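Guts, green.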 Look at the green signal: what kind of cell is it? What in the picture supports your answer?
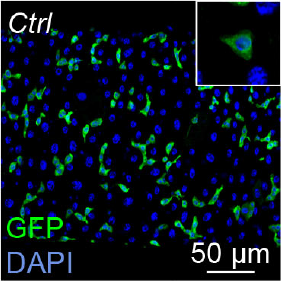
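Progenitors. The green cells are spindle- or triangle-shaped and mostly single or in pairs.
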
